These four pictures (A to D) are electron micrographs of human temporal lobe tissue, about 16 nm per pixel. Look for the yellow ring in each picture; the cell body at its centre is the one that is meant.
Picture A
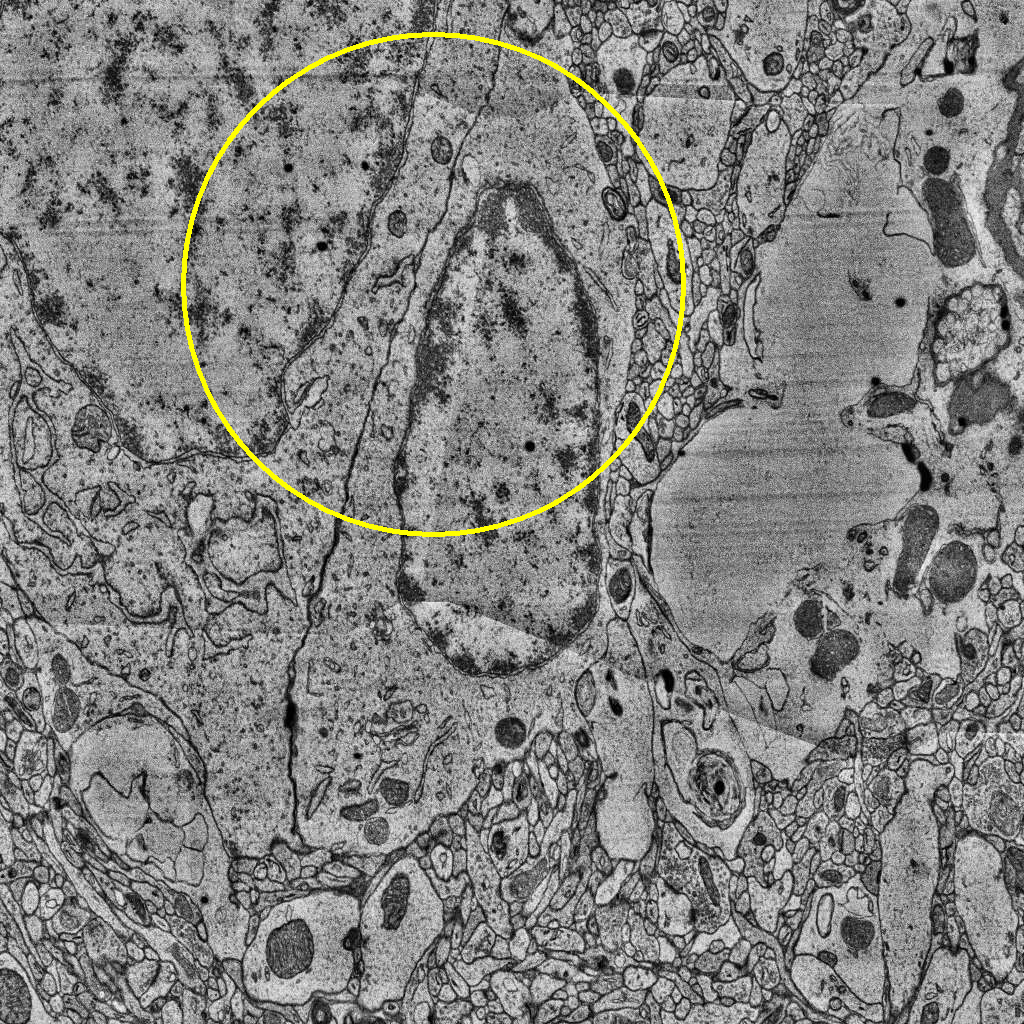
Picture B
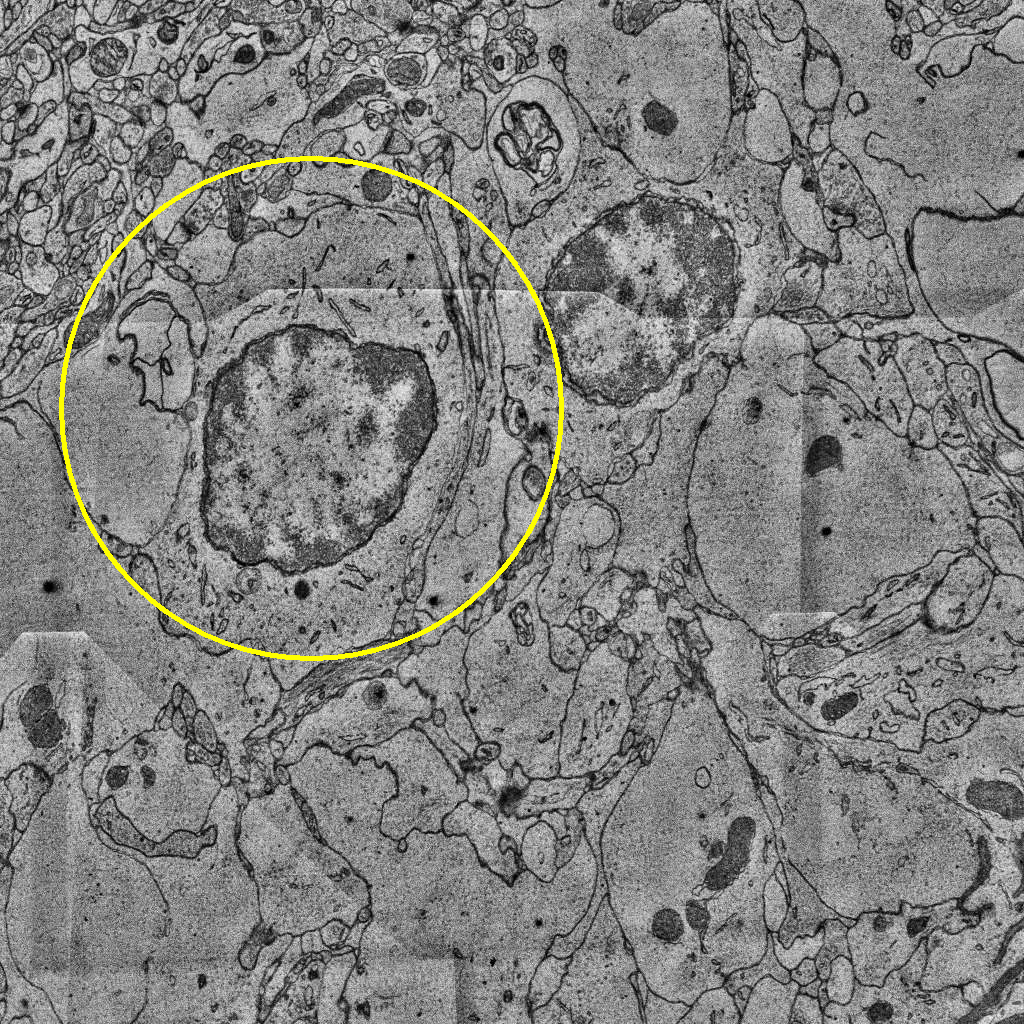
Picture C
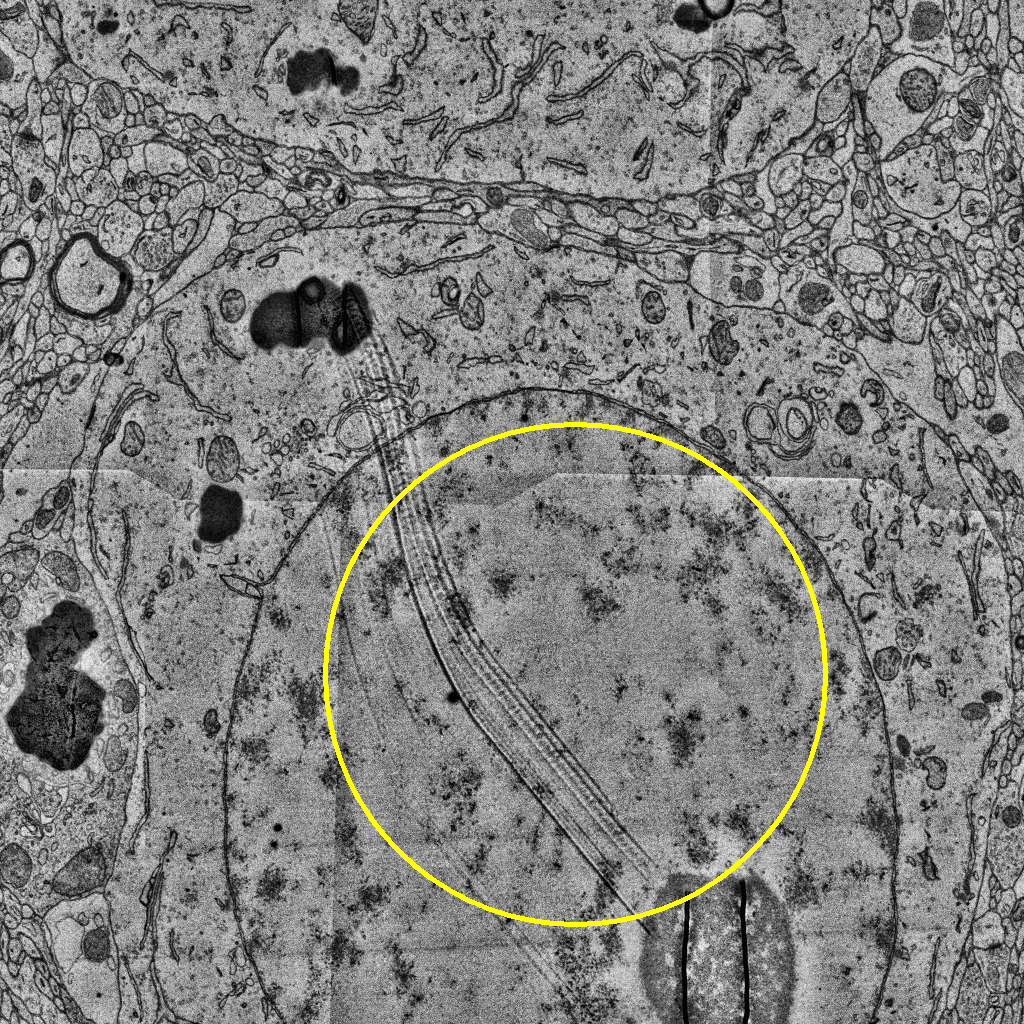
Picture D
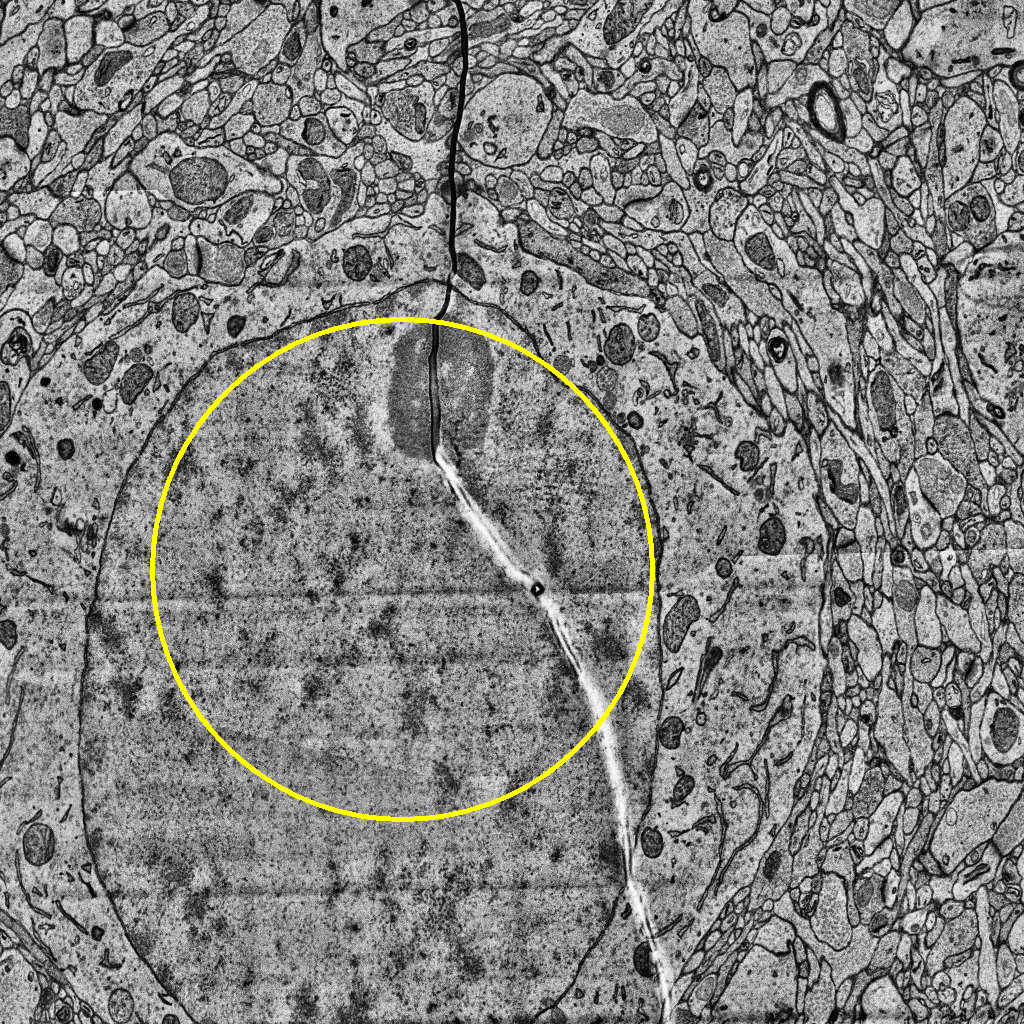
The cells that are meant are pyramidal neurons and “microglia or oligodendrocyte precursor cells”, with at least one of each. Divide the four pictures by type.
Pictures C and D show pyramidal neurons; pictures A and B show “microglia or oligodendrocyte precursor cells”.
